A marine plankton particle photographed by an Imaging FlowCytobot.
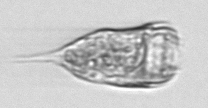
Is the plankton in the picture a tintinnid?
Yes, it is a tintinnid.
